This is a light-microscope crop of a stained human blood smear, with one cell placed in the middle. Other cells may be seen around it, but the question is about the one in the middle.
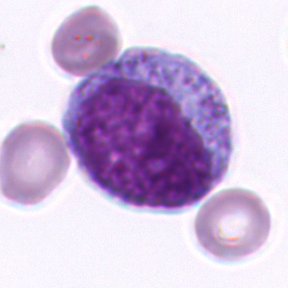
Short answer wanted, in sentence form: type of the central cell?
The cell in the middle of this crop is a myelocyte.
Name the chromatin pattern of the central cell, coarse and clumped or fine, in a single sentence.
No coarse chromatin clumps are present; the pattern is fine.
